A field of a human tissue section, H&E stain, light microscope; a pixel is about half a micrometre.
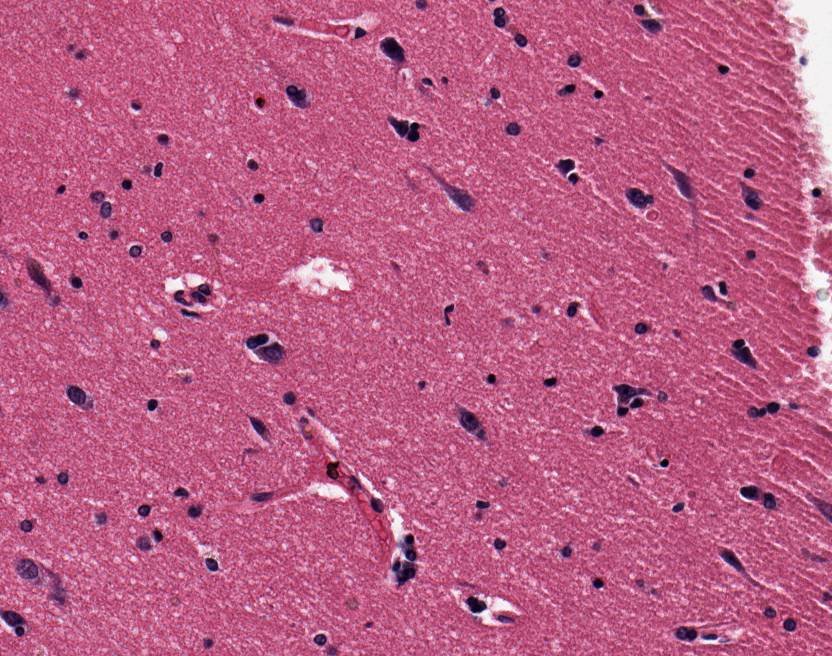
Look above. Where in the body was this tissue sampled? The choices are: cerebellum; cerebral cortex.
cerebral cortex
